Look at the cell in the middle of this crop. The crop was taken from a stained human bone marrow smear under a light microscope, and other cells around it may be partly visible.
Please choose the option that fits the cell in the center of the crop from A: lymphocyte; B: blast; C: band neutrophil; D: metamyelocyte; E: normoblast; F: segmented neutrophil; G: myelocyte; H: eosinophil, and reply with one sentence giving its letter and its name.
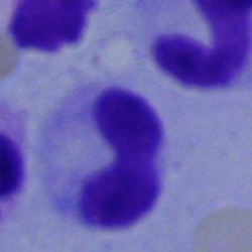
Option C correctly names the cell in the middle as a band neutrophil.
